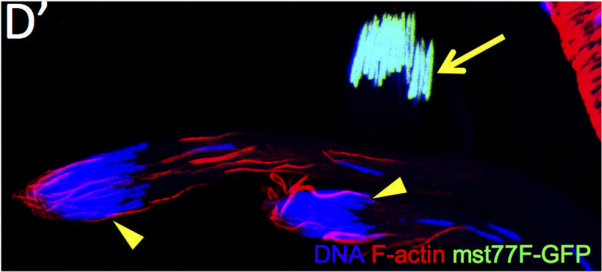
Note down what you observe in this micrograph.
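This view of testis germ cells shows bundles of spermatid nuclei. At the lower left, two long cysts hold blue nuclei that lack the green label and look less neatly packed than the cyan bundle. At the upper right edge, a densely striated red band is also seen.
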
